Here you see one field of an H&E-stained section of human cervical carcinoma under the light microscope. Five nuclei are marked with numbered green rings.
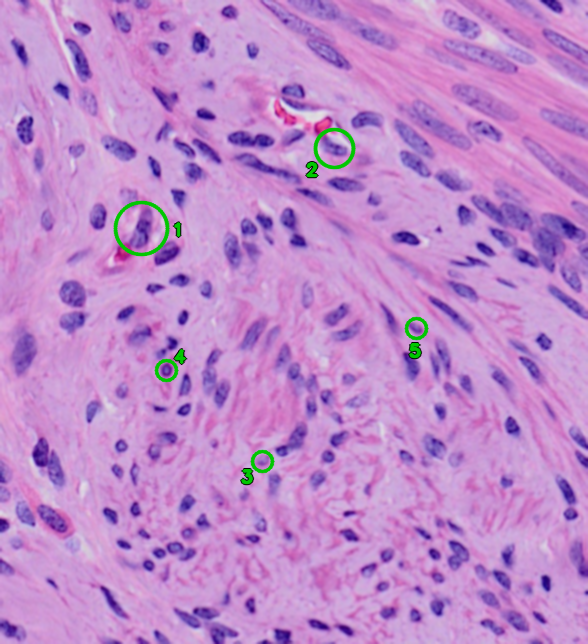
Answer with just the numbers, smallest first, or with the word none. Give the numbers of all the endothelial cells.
1, 2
